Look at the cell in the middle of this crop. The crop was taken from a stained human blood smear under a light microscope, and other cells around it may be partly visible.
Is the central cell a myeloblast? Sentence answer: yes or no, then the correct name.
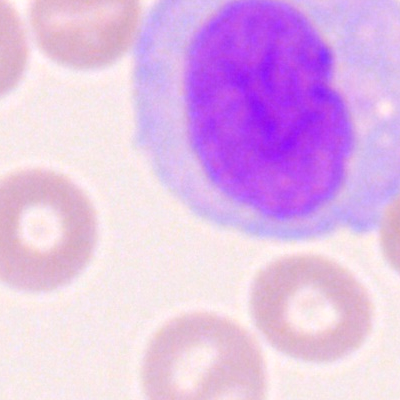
No, the centred cell is a monocyte instead of a myeloblast.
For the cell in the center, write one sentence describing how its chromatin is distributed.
Check the chromatin: it is fine and not coarsely clumped.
